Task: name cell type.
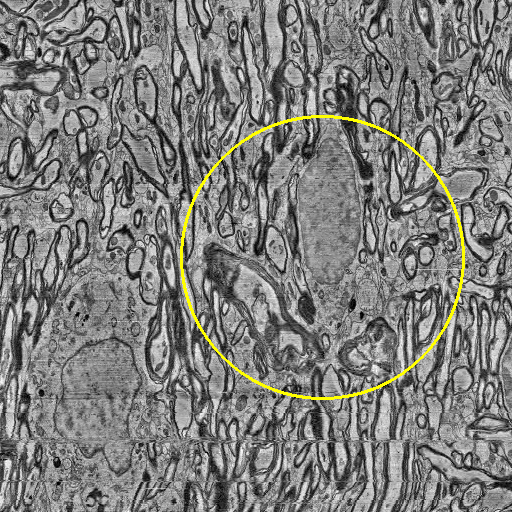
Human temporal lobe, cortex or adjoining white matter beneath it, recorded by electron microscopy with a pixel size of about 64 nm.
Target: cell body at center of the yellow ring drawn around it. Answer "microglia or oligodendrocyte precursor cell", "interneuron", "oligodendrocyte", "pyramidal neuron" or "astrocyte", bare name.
oligodendrocyte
